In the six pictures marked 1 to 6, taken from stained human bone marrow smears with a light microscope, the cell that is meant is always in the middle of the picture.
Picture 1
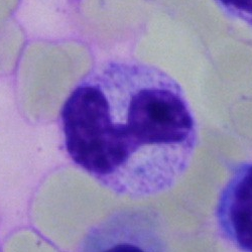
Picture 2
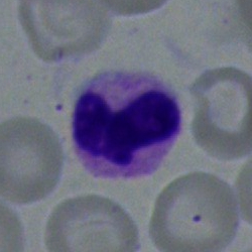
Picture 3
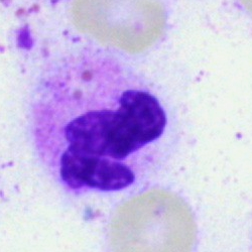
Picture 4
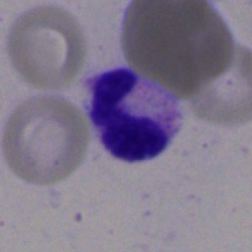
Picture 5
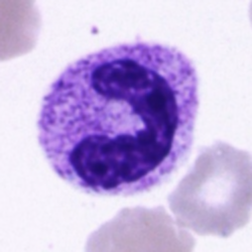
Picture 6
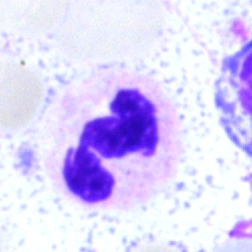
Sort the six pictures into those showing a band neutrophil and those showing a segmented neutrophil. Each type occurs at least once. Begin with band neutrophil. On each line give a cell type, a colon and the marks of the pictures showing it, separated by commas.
band neutrophil: 1, 2
segmented neutrophil: 3, 4, 5, 6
